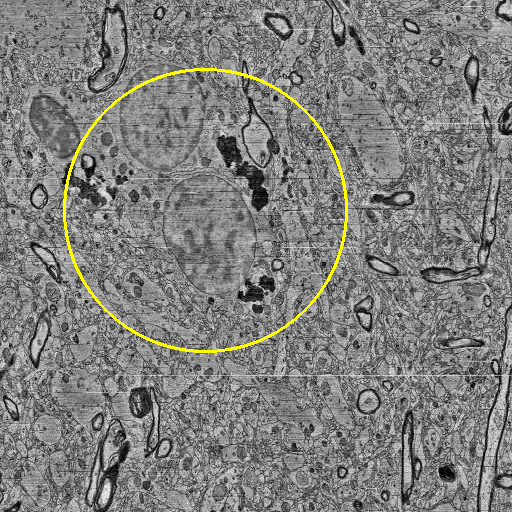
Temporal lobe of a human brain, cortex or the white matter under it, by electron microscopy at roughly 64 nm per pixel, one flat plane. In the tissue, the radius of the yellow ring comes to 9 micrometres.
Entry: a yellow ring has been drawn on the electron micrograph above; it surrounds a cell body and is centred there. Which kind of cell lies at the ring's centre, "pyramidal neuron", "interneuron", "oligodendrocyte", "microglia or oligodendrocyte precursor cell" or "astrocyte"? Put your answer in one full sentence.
The cell sitting at the ring's centre is an oligodendrocyte in the micrograph above.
